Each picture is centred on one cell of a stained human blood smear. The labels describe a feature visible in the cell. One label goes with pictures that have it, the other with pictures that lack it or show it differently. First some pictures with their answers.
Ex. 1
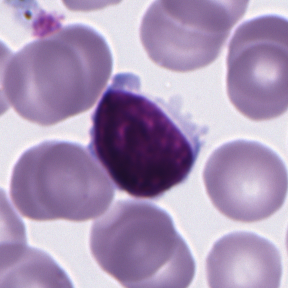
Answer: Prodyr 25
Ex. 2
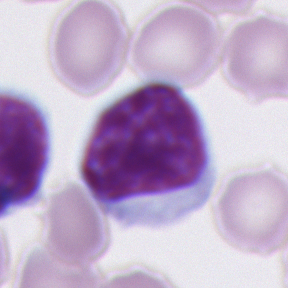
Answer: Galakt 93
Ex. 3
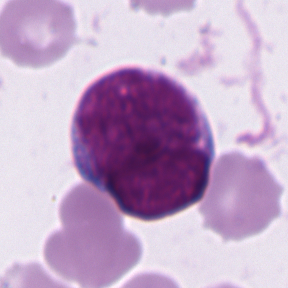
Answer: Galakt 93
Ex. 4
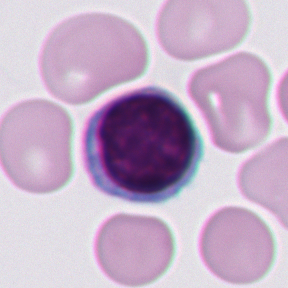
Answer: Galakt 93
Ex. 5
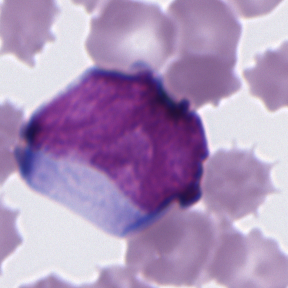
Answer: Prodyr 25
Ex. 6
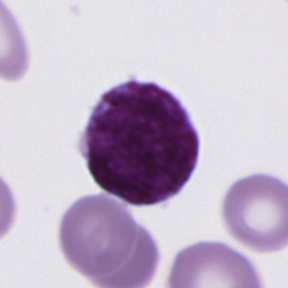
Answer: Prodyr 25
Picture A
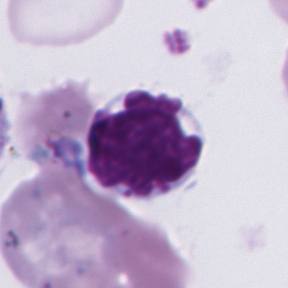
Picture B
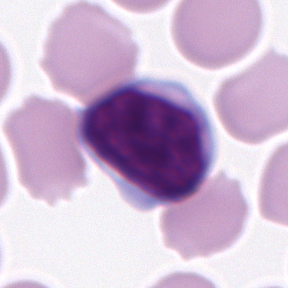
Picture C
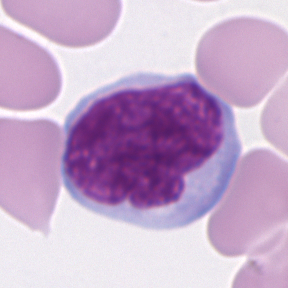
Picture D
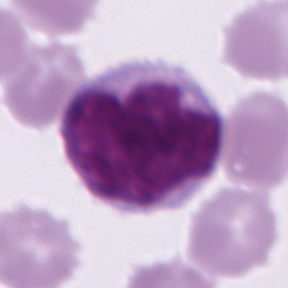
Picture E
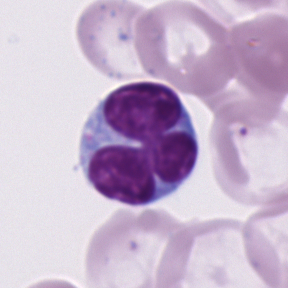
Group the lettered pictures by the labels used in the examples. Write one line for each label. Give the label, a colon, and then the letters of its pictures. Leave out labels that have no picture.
Prodyr 25: D
Galakt 93: A, B, C, E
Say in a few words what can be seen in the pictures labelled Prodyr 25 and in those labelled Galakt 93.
Seen in Prodyr 25: ragged outline or projections; seen in Galakt 93: smooth outline.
